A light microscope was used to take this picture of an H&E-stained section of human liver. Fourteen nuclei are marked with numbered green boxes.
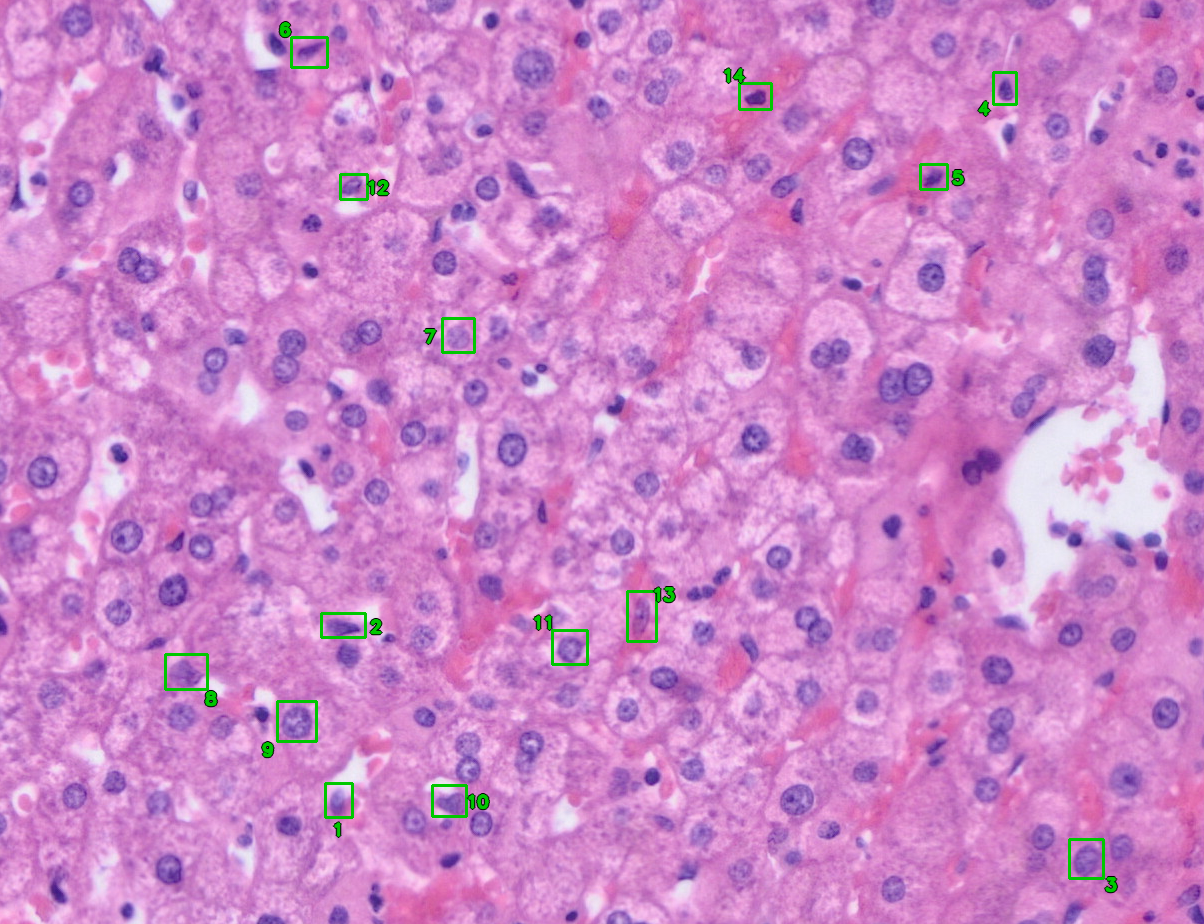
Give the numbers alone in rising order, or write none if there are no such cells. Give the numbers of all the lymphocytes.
4, 14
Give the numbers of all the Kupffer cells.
10, 12, 13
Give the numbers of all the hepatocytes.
3, 7, 9, 11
